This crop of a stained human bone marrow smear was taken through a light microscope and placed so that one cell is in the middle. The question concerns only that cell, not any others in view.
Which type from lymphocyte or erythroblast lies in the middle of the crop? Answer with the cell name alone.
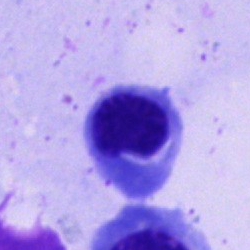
erythroblast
